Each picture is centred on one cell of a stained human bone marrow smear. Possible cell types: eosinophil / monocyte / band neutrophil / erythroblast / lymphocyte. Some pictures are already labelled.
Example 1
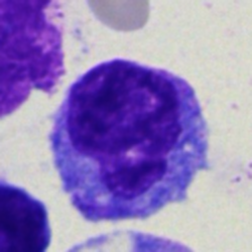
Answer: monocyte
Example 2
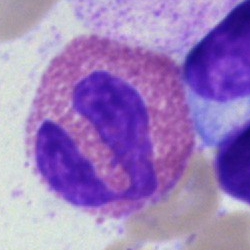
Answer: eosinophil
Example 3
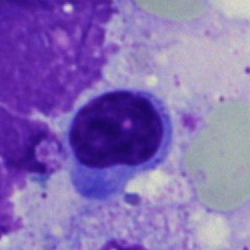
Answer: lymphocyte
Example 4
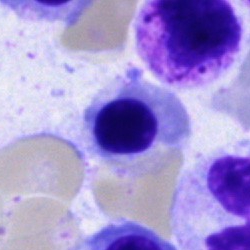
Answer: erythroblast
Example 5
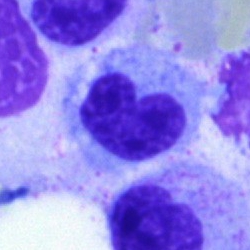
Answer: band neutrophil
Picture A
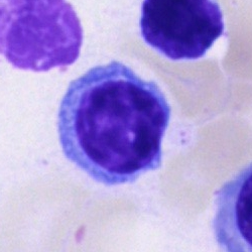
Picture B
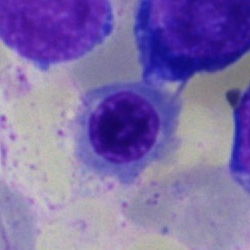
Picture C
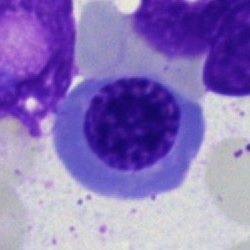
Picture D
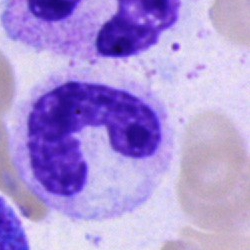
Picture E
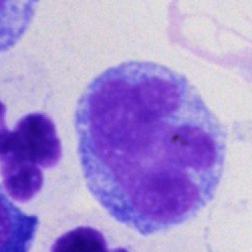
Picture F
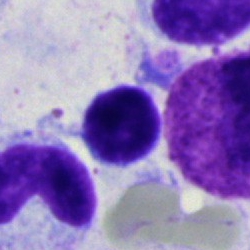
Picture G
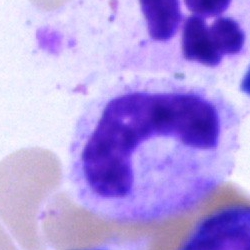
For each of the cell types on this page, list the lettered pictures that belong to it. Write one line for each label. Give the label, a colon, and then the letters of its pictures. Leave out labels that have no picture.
monocyte: E
band neutrophil: D, G
erythroblast: B, C
lymphocyte: A, F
